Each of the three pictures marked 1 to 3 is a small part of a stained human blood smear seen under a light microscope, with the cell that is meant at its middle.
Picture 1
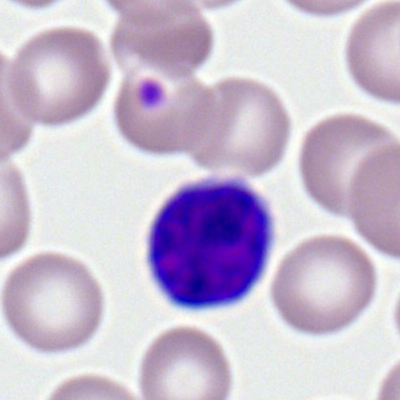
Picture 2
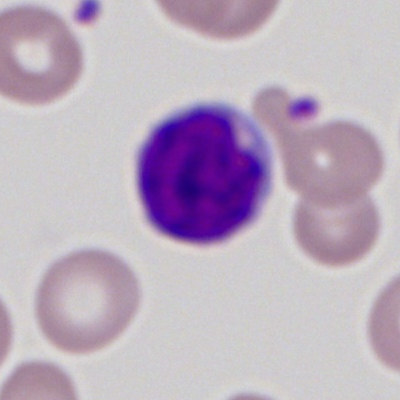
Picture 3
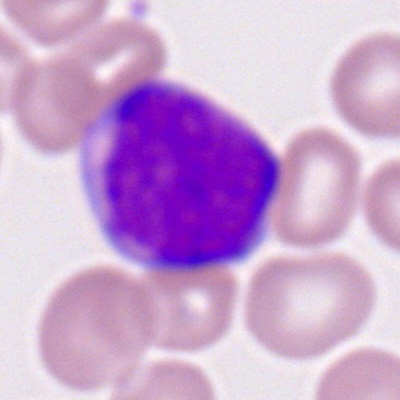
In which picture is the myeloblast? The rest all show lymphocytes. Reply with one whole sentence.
The cell in picture 3 is the myeloblast.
